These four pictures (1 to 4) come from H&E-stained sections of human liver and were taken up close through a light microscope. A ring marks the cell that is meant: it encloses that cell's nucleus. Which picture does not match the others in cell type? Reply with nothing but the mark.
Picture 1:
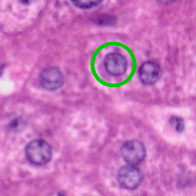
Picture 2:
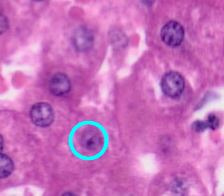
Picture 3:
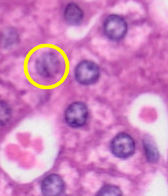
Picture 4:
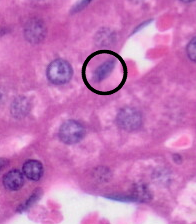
4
